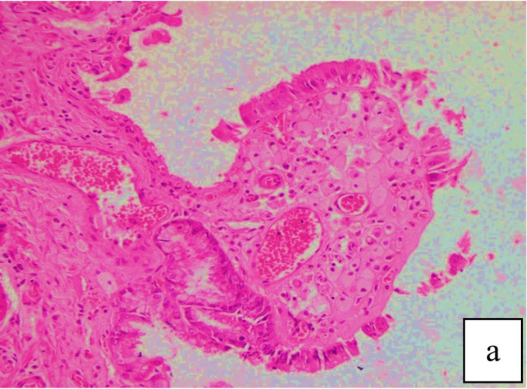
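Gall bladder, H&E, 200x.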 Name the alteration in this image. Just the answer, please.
Cholesterolosis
